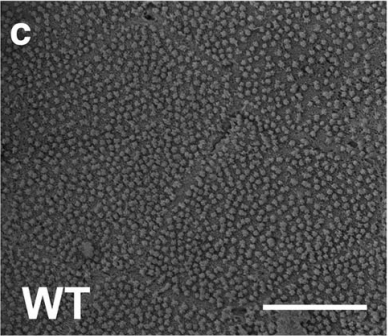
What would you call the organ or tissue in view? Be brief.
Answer: Anther inner surface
